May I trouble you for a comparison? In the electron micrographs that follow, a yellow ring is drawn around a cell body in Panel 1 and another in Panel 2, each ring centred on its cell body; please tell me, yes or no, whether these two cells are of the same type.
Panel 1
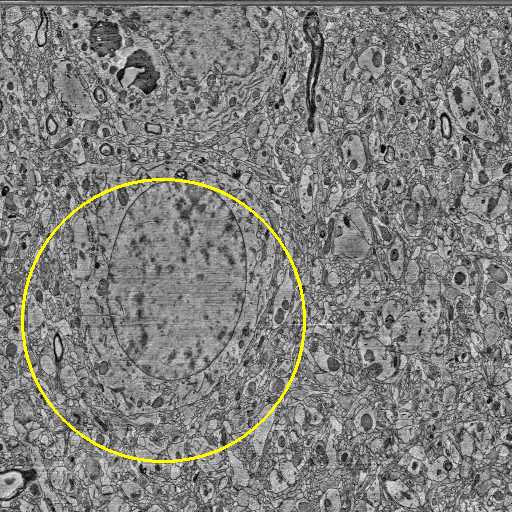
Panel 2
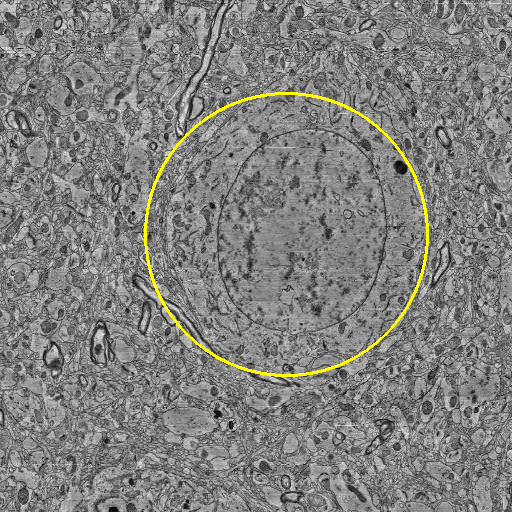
yes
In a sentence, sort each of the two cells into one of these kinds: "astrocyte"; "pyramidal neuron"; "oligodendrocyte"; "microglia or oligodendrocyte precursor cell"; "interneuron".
Both the first and the second picture show a pyramidal neuron in the ring.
